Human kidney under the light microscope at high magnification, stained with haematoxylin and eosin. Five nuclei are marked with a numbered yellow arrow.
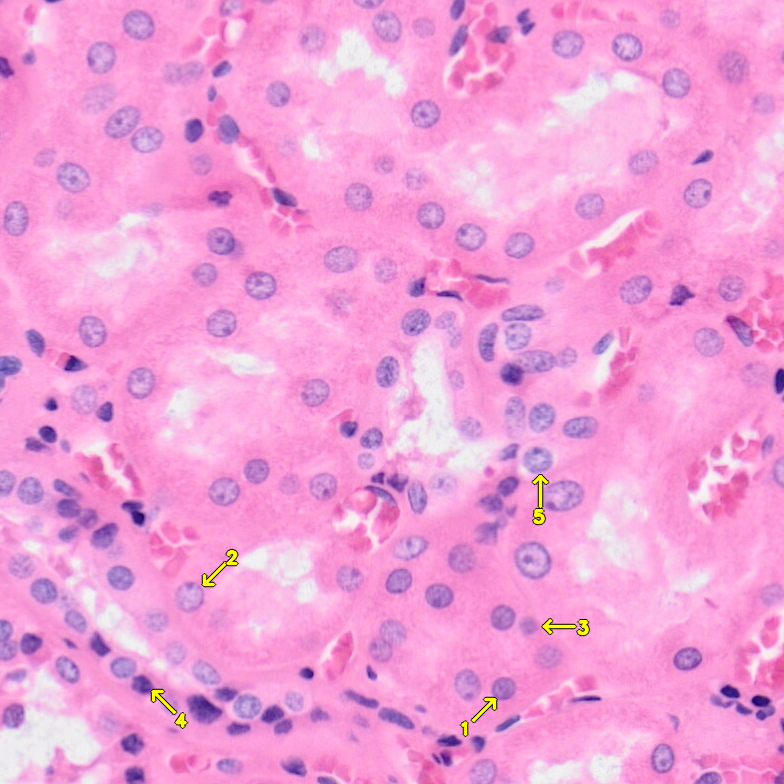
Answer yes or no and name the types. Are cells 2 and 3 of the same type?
Yes, in short, cells 2 and 3 are both proximal tubule cells.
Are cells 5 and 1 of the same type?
No, the proper labels are a collecting duct cell for cell 5 and a proximal tubule cell for cell 1.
